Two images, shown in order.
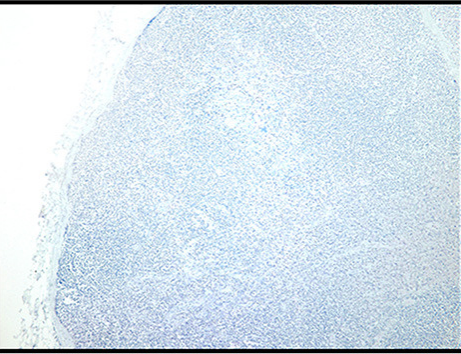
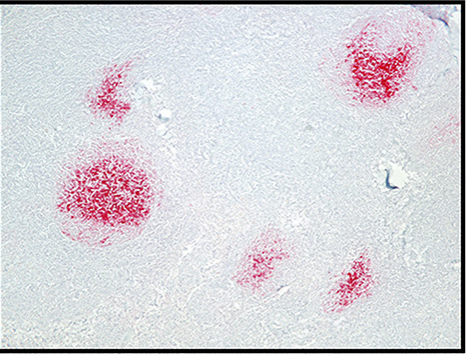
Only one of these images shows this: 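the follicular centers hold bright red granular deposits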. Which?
The second image.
